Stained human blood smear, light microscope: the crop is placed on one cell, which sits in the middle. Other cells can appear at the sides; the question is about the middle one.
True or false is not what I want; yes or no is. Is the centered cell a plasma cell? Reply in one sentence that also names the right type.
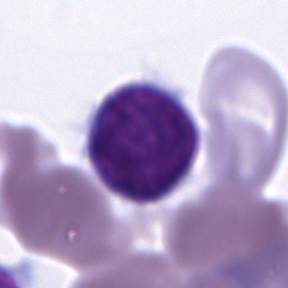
No, the cell placed at the center is a hairy cell rather than a plasma cell.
